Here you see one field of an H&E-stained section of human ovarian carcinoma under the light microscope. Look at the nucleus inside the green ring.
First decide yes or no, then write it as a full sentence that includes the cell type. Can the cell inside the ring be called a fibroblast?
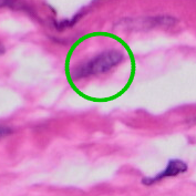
Yes, and to confirm, the cell inside the ring is a fibroblast.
